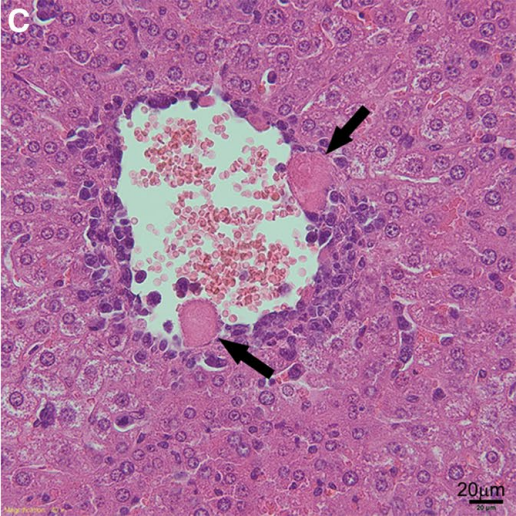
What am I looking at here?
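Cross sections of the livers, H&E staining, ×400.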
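The hepatocytes are polygonal, with round central nuclei, visible nucleoli and pink cytoplasm; some cells hold two nuclei. Many small, dark, densely stained nuclei crowd the rim of the vessel. Two round, smooth, pale pink globules without nuclei bulge from the vessel wall into the lumen, each about the size of a hepatocyte. The red blood cells appear as small pink-red discs loosely spread through the clear lumen.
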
